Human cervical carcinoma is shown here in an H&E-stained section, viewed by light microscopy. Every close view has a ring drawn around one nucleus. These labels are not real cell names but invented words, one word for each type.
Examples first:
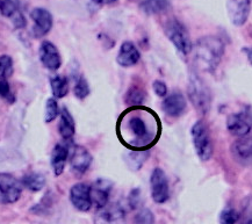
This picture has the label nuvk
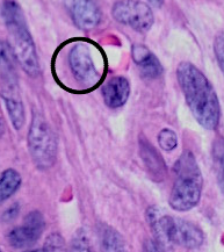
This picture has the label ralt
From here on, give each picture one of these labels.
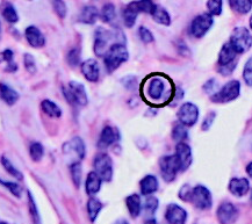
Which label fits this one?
nuvk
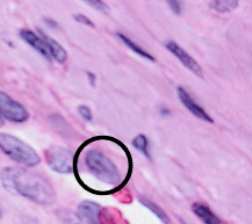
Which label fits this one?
ralt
